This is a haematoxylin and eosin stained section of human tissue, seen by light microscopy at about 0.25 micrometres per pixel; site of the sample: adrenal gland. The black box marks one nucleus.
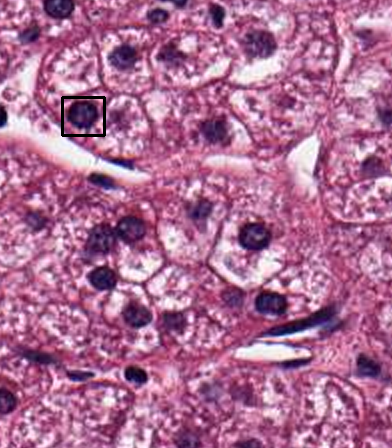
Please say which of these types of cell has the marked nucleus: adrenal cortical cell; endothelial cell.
adrenal cortical cell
